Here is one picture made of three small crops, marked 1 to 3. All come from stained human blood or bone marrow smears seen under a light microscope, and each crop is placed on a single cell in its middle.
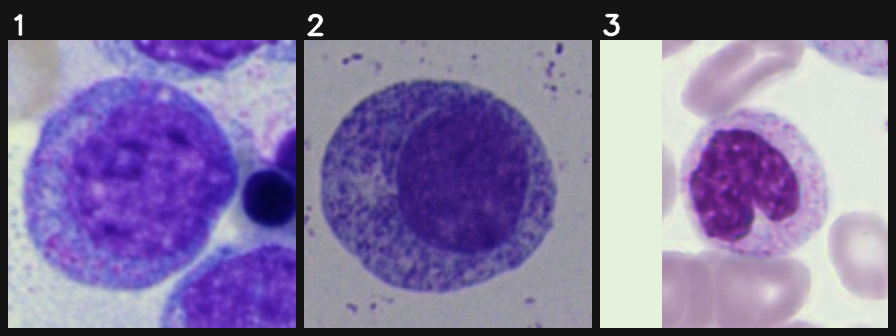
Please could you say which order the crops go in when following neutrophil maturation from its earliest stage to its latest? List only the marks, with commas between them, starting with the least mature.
1, 2, 3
